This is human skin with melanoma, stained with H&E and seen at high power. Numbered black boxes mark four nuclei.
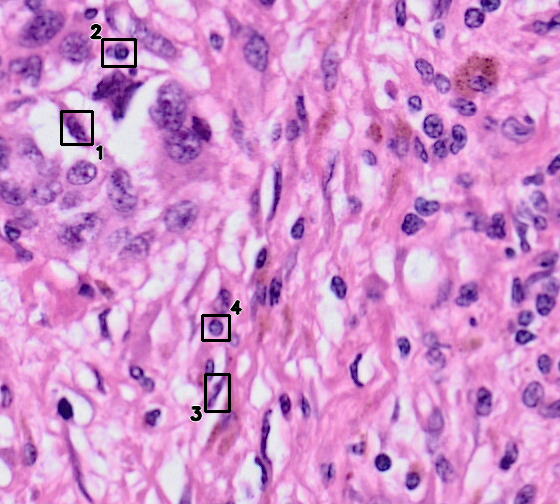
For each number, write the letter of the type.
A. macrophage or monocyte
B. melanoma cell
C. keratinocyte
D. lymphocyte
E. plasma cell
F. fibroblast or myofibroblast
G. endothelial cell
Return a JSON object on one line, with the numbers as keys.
{"1": "B", "2": "D", "3": "F", "4": "D"}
